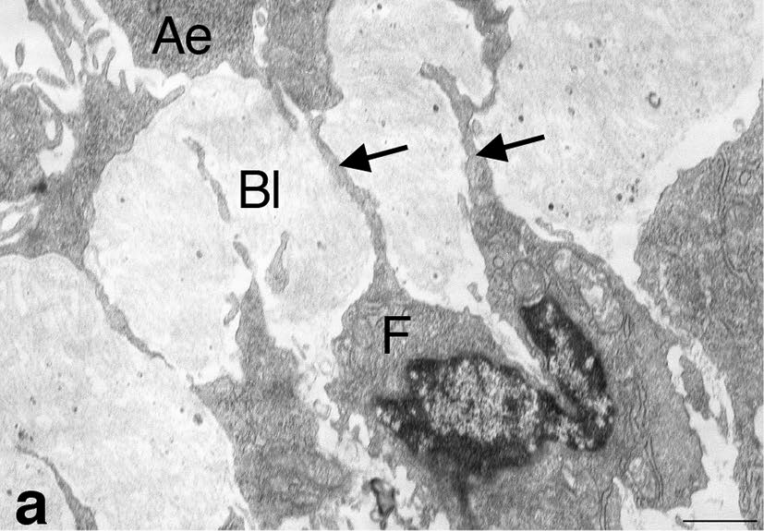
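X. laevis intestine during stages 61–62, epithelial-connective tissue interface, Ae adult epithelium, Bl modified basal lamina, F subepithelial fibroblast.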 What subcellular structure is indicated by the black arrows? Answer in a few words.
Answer: Long and thin processes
